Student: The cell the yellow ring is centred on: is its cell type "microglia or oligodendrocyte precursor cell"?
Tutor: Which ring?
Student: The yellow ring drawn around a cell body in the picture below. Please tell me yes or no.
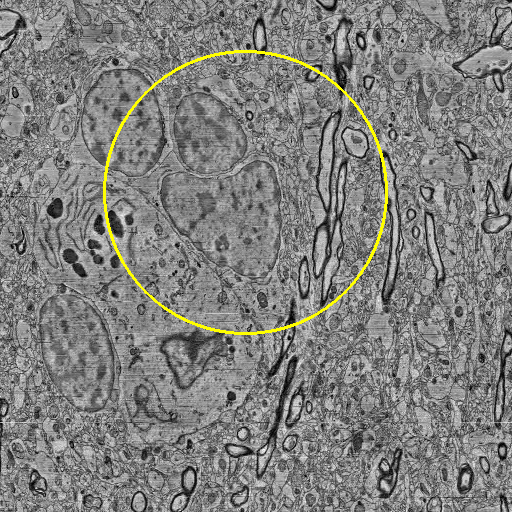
yes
